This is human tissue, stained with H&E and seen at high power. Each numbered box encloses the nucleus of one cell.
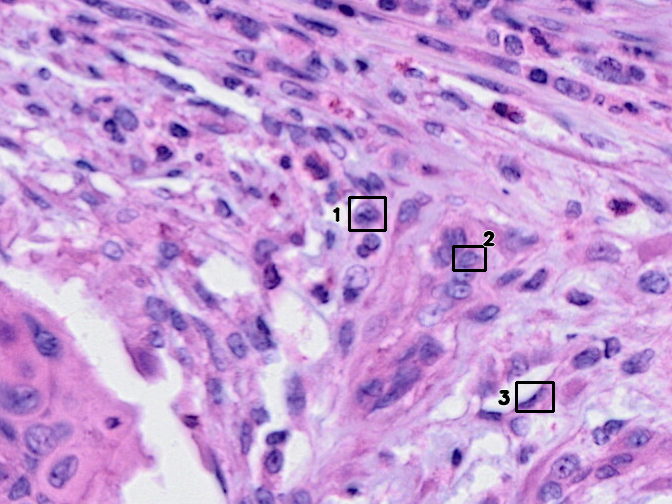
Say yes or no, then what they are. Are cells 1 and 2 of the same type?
No, cell 1 is a macrophage or monocyte and cell 2 is an endothelial cell.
